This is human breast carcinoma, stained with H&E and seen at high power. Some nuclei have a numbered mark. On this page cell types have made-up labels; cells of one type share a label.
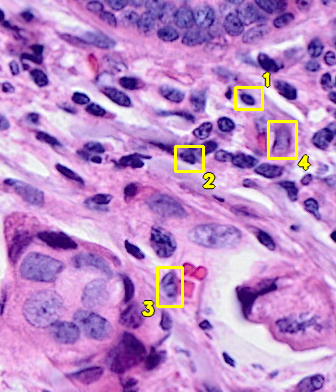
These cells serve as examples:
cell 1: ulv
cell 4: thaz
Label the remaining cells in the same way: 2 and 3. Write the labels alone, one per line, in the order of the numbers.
ulv
thaz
